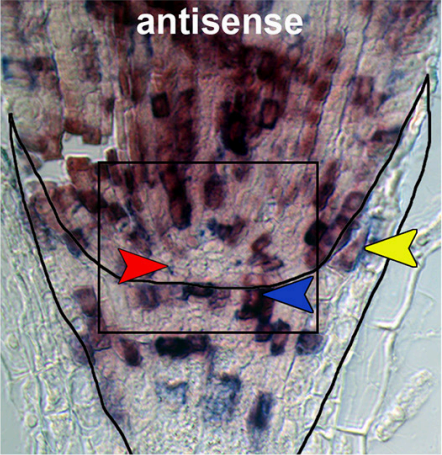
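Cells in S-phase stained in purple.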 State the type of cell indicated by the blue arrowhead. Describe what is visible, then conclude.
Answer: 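Distal stem cells. The arrowhead points at a row of purple-stained cells just below the central unstained zone. These cells sit on the black line, at the top of the root cap.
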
